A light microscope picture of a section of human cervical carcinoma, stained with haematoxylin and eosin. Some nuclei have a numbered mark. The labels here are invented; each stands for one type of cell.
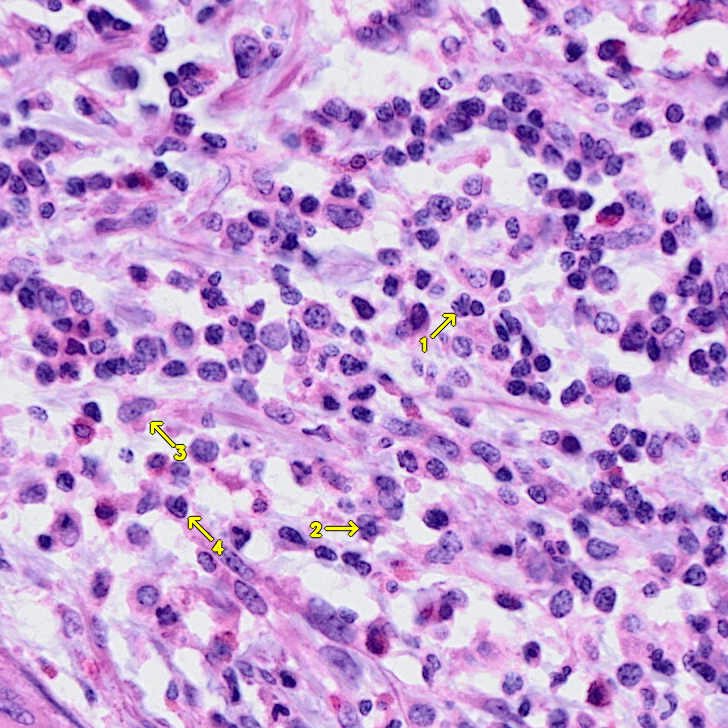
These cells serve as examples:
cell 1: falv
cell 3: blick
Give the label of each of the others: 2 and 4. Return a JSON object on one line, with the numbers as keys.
{"2": "falv", "4": "falv"}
